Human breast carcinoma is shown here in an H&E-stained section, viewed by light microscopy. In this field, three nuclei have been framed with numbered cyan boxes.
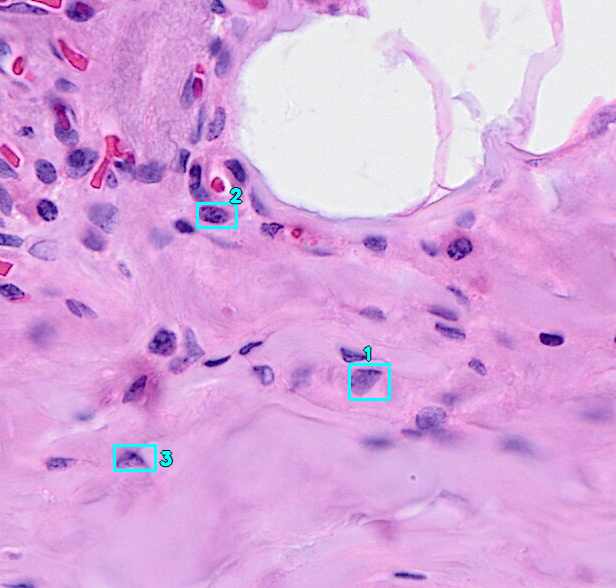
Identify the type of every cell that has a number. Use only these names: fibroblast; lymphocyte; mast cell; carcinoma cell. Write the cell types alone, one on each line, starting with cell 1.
fibroblast
mast cell
fibroblast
